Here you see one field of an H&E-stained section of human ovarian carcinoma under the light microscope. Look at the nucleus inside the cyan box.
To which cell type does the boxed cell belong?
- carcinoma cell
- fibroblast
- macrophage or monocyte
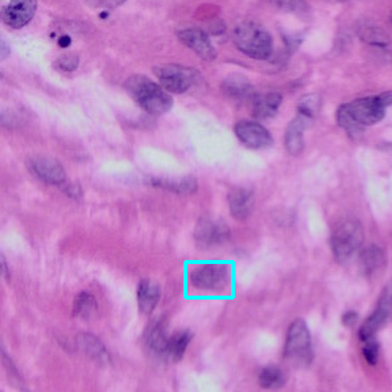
fibroblast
